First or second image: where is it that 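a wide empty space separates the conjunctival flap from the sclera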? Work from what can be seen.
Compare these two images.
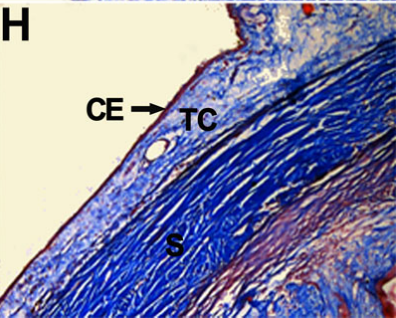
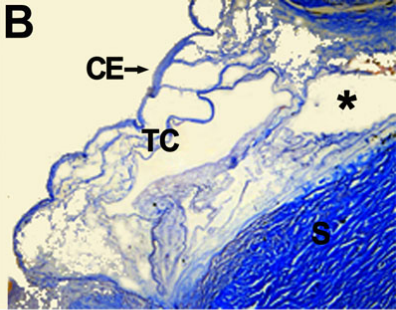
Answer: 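First image: the thin surface layer and the tissue beneath lie directly on the dense blue fibre bundles with no gap. Second image: the wavy thin surface layer is lifted far from the dense blue fibre bundles, with a large pale empty area between. So: the second image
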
